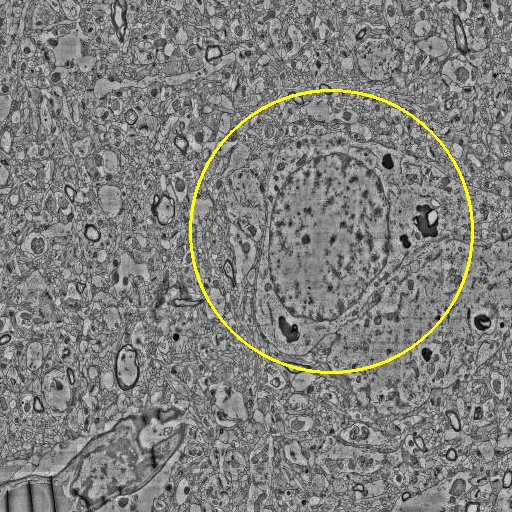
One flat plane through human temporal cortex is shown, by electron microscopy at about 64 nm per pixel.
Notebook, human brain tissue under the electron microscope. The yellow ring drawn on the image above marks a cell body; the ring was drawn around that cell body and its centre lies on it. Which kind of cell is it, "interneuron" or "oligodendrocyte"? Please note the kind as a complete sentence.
The marked cell body is that of an interneuron.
